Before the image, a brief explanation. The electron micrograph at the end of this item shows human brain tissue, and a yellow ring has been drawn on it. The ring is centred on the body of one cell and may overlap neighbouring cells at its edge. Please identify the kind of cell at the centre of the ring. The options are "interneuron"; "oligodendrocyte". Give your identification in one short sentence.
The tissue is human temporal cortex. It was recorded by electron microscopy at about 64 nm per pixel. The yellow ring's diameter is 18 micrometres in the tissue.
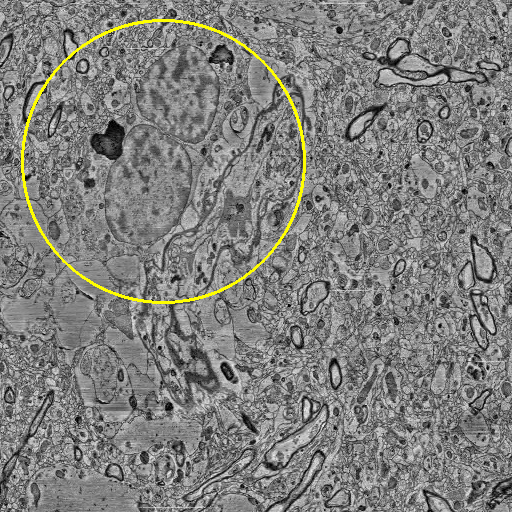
The ring has been placed around an oligodendrocyte.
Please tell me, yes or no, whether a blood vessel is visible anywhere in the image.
Yes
